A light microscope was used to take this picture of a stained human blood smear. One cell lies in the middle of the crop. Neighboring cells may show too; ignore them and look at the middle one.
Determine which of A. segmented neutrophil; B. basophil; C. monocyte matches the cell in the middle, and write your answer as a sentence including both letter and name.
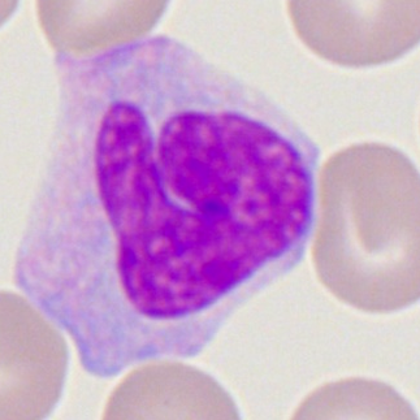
Well, the cell in the middle is a monocyte, making option C right.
